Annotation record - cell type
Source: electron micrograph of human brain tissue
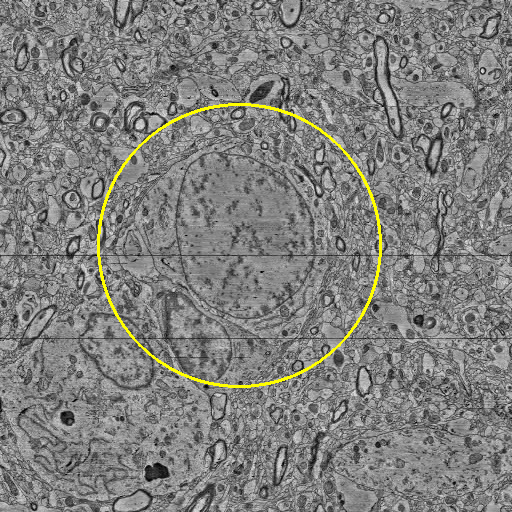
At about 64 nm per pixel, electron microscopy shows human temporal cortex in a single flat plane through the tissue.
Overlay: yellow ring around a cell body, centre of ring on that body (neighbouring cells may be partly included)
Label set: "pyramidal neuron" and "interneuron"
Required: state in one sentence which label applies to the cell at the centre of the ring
This cell should be labelled as a pyramidal neuron.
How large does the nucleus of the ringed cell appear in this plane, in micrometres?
The nucleus measures about 11 by 9 micrometres in this plane.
